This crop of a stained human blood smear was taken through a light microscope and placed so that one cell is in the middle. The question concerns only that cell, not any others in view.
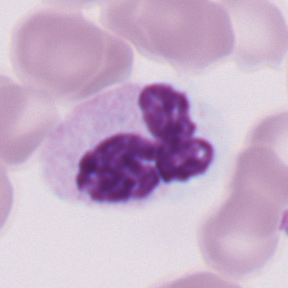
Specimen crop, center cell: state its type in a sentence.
The crop centres on a single cell, and that cell is a neutrophil.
